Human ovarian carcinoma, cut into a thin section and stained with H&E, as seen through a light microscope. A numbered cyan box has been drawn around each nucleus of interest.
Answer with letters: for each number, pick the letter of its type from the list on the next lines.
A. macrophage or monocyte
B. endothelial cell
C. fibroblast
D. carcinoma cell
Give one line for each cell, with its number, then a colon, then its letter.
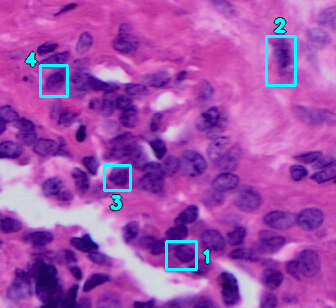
1: D
2: C
3: D
4: D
